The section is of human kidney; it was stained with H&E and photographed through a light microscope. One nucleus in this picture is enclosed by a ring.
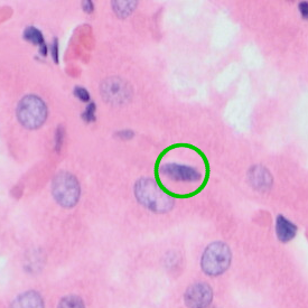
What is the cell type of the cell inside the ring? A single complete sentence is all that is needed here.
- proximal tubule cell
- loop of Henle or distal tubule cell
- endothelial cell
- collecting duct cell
Within this tissue, the cell inside the ring is an endothelial cell.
